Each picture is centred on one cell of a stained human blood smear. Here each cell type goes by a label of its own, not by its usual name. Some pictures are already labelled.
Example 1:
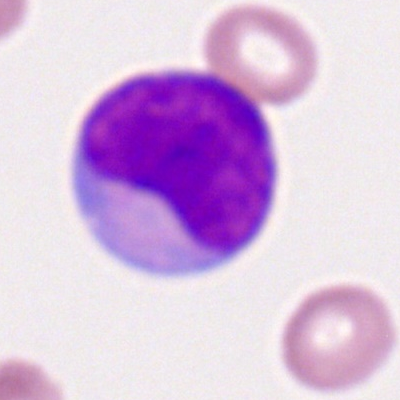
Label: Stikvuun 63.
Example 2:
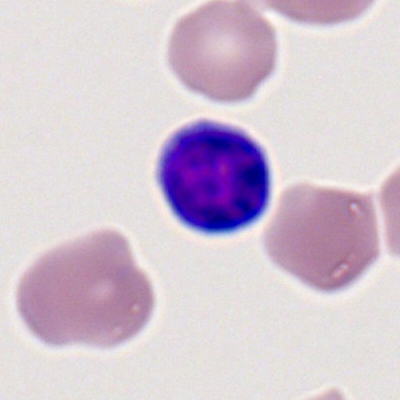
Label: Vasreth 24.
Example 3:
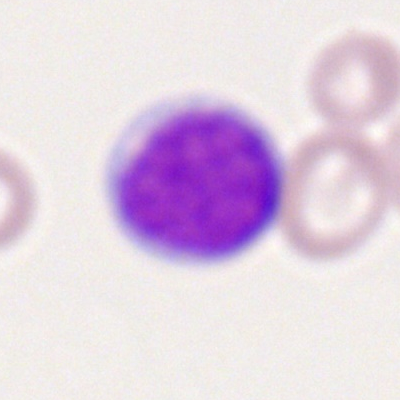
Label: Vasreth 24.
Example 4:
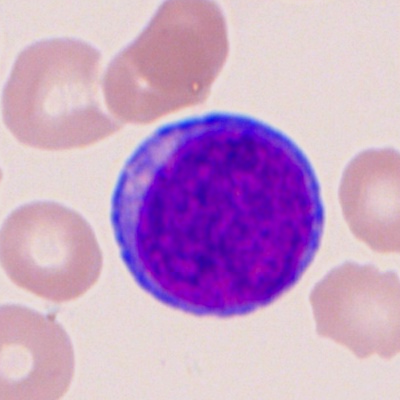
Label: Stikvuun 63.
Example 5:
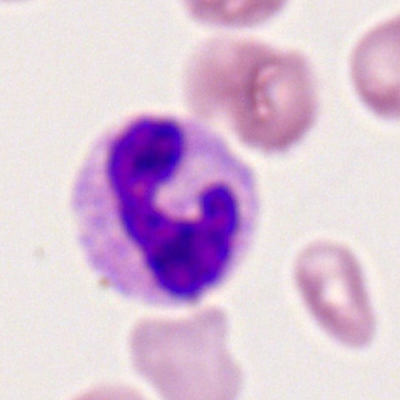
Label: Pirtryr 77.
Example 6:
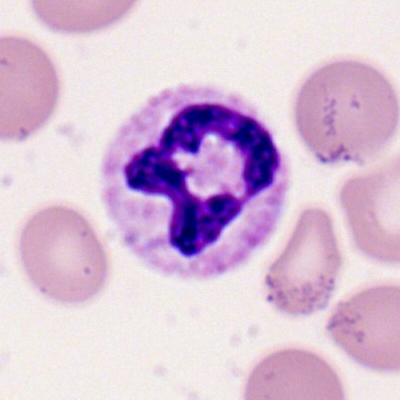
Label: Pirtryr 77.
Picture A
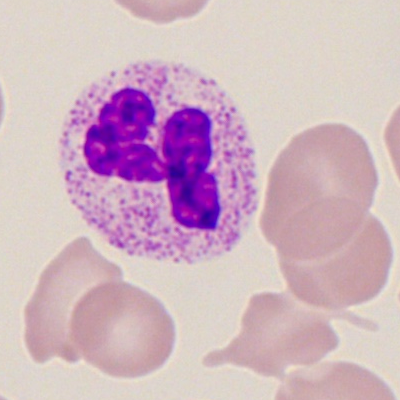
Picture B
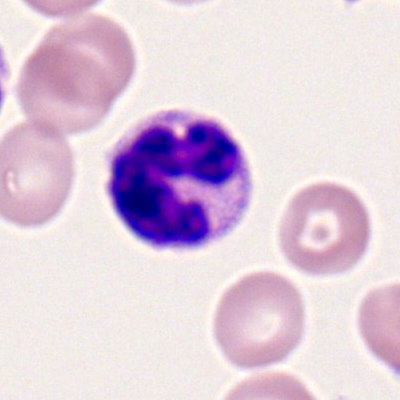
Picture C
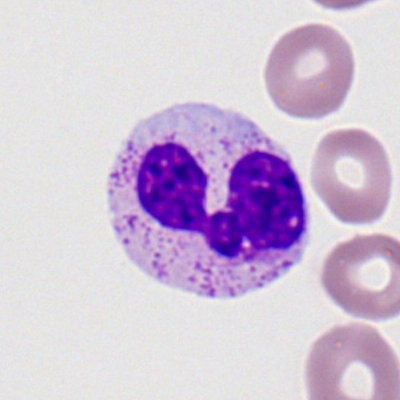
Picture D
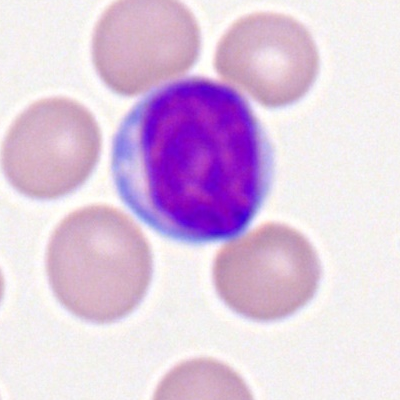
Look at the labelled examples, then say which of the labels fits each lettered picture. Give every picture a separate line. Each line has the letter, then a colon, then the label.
A: Pirtryr 77.
B: Pirtryr 77.
C: Pirtryr 77.
D: Vasreth 24.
